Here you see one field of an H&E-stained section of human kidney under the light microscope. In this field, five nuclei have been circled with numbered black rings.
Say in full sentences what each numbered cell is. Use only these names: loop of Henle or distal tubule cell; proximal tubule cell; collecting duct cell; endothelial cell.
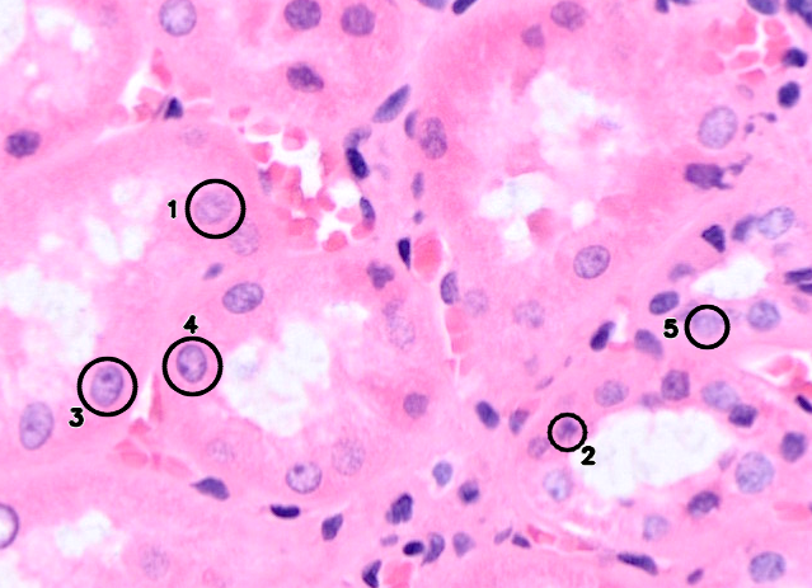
Cell 1 is a proximal tubule cell, cell 2 is a loop of Henle or distal tubule cell, cell 3 is a proximal tubule cell, cell 4 is a proximal tubule cell and cell 5 is a collecting duct cell.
